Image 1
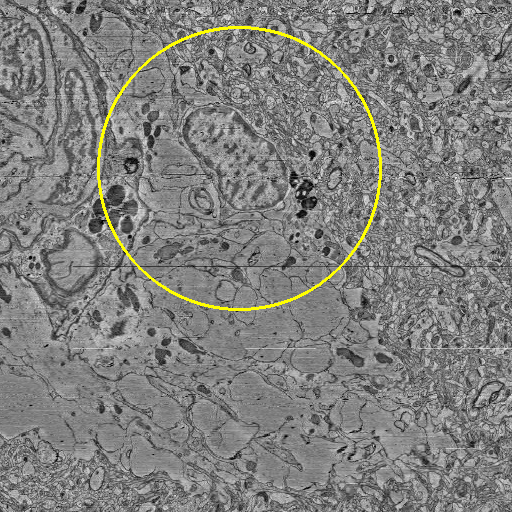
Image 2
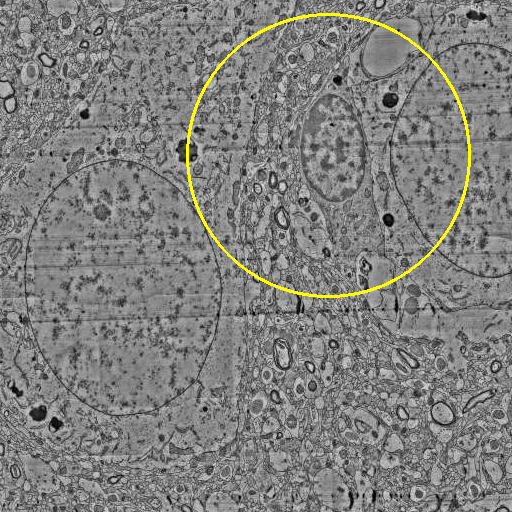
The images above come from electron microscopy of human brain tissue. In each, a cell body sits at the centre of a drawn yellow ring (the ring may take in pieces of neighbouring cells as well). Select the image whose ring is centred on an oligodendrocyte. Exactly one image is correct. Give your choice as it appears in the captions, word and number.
Image 2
